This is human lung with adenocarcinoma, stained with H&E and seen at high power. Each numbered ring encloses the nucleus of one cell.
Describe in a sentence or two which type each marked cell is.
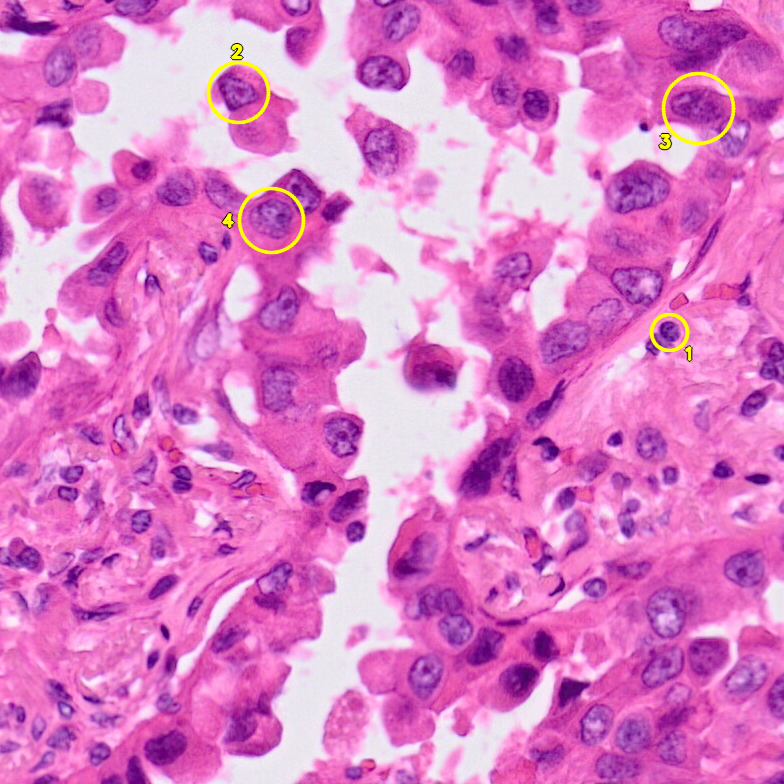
Cell 1 is a lymphocyte, cell 2 is a carcinoma cell, cell 3 is a carcinoma cell and cell 4 is a carcinoma cell.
